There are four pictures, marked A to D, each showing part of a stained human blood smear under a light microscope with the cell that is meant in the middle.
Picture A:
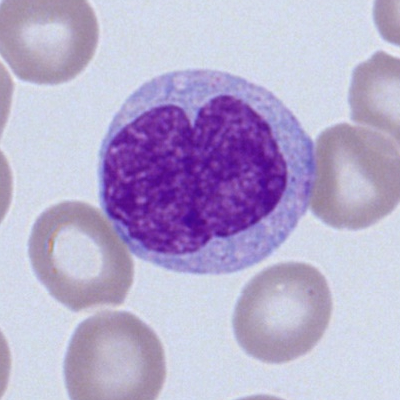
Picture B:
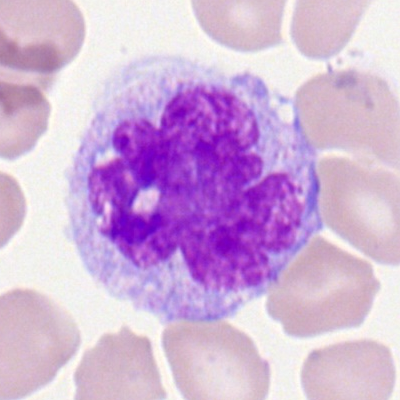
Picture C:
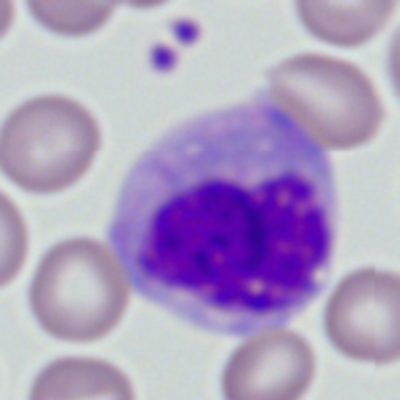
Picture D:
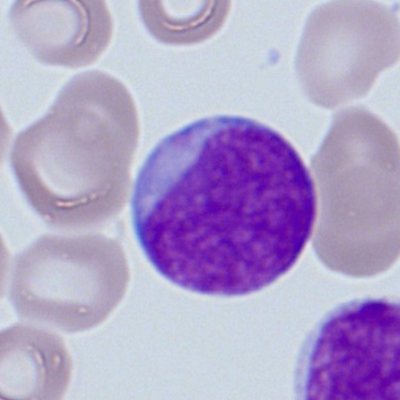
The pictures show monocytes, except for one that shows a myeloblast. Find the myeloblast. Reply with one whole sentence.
The cell in picture D is the myeloblast.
